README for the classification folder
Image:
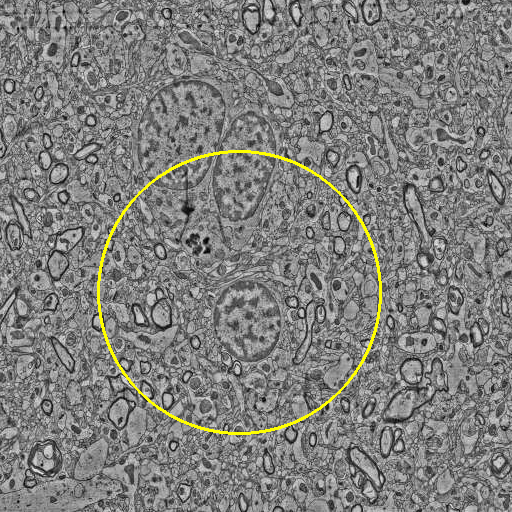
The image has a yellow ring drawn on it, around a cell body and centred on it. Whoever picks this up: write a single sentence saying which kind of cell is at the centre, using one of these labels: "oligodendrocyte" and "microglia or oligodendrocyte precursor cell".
This cell body is that of an oligodendrocyte.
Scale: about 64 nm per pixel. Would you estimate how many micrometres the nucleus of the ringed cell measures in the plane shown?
In this plane the nucleus measures roughly 5 micrometres across.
